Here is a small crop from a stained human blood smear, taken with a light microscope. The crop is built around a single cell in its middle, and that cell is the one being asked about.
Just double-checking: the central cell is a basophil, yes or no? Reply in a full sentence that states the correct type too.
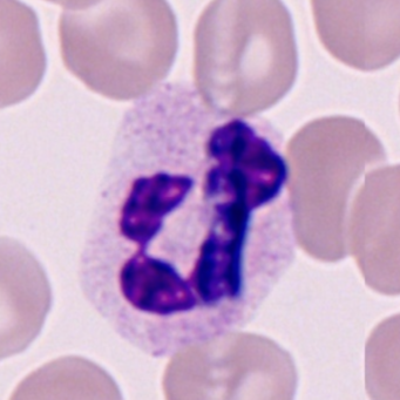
No, instead of a basophil, the middle cell is a segmented neutrophil.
